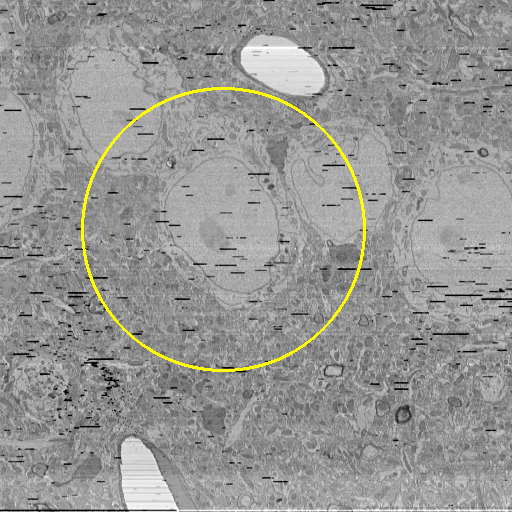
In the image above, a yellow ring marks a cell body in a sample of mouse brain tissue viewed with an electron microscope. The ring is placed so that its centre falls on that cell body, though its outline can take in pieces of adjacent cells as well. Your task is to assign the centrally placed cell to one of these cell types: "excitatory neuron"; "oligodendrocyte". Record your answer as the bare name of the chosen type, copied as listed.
excitatory neuron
